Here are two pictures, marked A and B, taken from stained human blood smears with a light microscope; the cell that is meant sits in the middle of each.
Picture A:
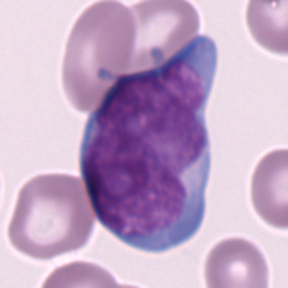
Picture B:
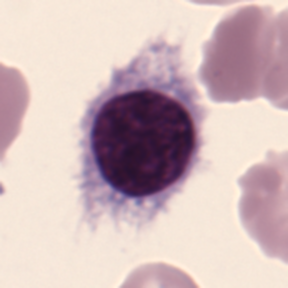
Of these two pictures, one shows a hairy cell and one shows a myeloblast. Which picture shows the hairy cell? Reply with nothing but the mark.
B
